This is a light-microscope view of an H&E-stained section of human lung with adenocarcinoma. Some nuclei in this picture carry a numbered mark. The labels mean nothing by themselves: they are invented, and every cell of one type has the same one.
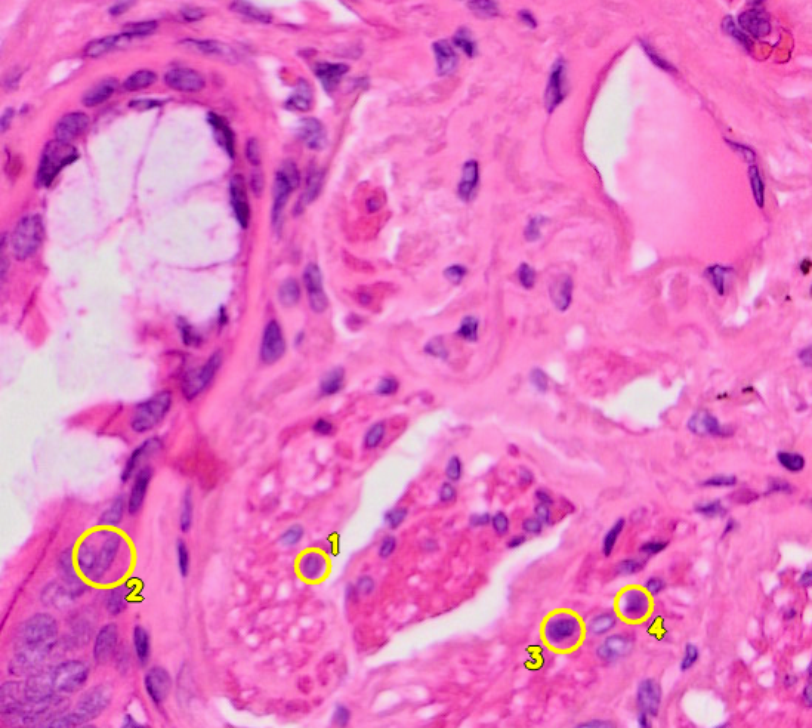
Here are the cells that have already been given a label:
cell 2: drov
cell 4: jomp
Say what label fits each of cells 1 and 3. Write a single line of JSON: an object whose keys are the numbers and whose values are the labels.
{"1": "jomp", "3": "jomp"}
